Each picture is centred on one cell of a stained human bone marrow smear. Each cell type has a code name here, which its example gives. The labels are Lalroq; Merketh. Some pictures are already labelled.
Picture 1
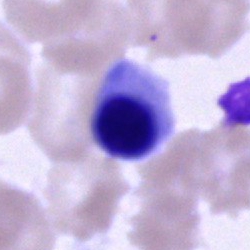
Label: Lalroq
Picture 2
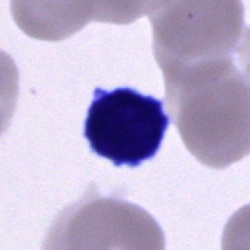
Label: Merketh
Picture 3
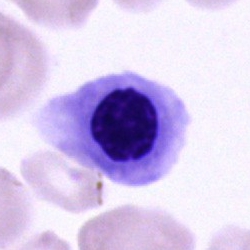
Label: Lalroq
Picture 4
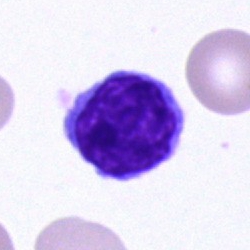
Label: Merketh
